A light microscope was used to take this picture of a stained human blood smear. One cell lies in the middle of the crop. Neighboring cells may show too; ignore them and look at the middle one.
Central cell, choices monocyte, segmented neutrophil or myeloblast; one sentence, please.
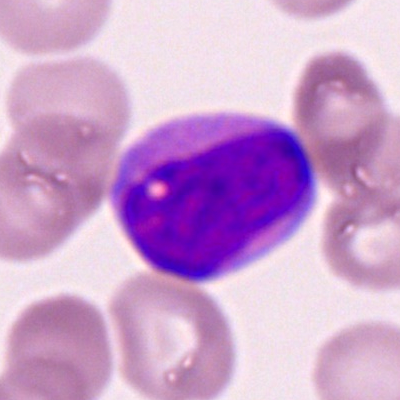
The crop's centre is taken up by a myeloblast.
